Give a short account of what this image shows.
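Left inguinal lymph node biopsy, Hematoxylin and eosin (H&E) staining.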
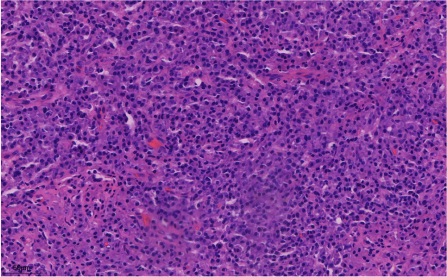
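The cells lie in packed sheets, each with a dark round nucleus and a rim of pink cytoplasm. Thin pink strands of stroma and a few small vessels run between the sheets, with no normal nodal architecture evident.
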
